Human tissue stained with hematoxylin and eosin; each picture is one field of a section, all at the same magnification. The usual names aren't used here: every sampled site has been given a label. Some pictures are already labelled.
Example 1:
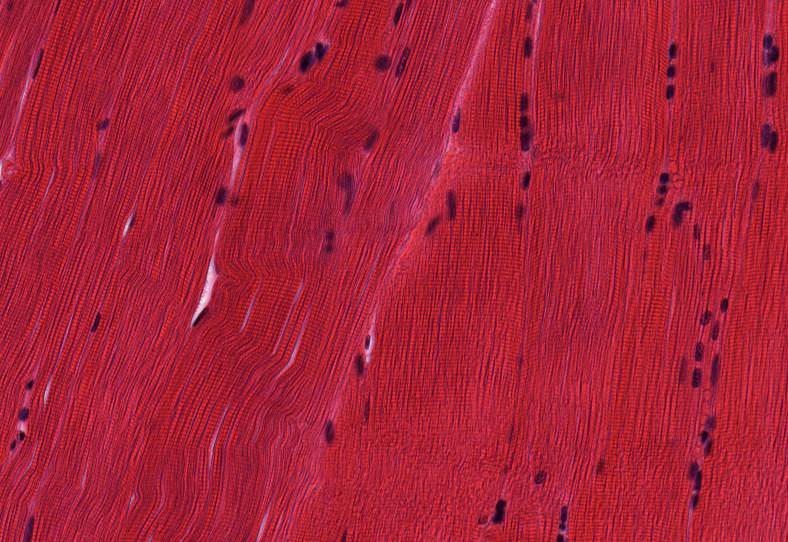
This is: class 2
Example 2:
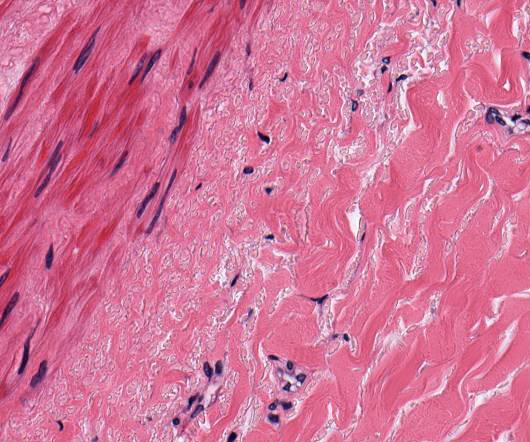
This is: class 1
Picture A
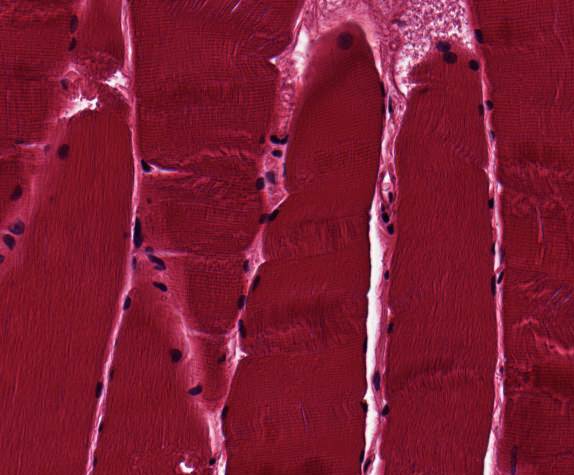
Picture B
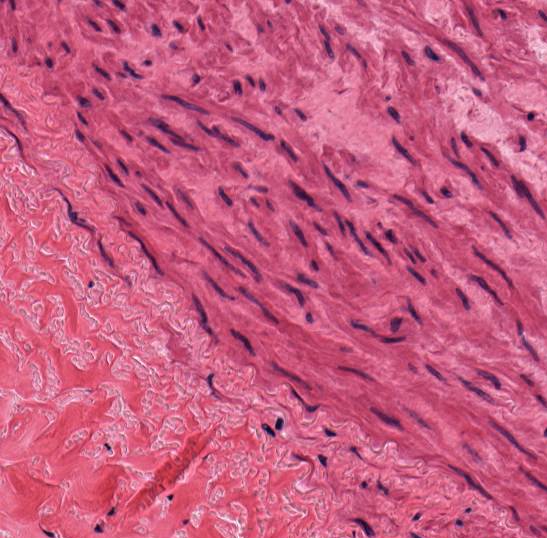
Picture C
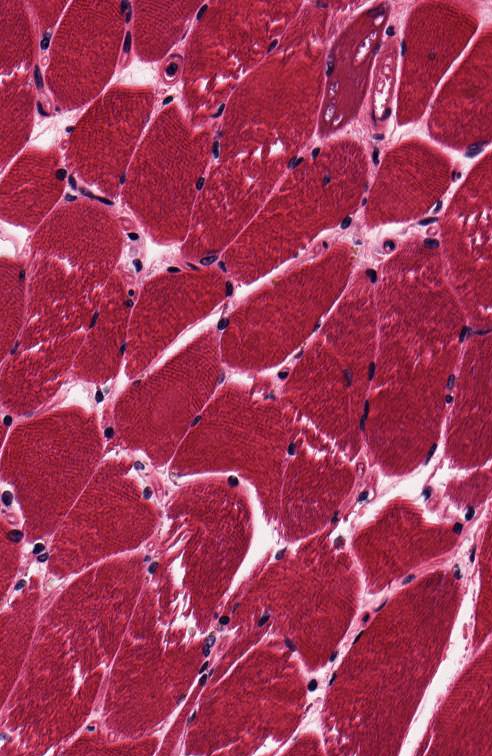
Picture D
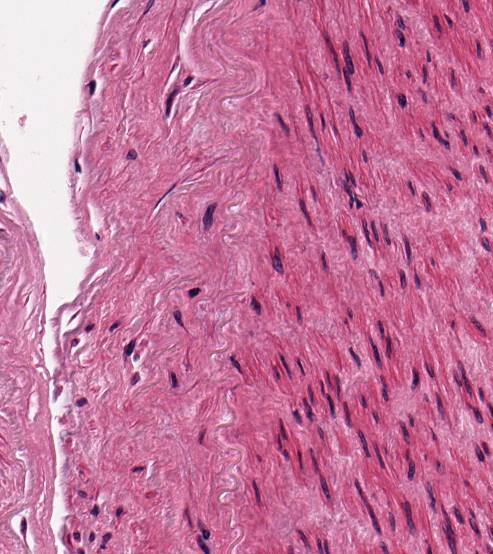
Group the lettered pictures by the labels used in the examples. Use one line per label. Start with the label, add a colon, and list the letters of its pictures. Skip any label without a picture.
class 2: A, C
class 1: B, D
